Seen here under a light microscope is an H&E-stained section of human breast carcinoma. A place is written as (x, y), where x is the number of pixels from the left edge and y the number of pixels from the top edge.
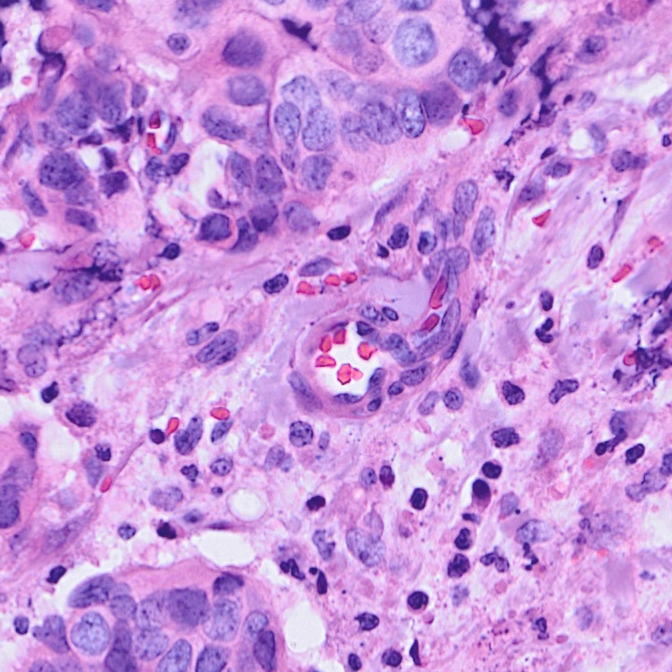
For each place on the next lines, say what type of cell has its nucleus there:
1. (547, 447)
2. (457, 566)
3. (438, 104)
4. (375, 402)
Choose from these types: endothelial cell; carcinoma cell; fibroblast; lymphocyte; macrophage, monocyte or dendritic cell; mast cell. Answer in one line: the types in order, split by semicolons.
fibroblast; lymphocyte; carcinoma cell; endothelial cell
